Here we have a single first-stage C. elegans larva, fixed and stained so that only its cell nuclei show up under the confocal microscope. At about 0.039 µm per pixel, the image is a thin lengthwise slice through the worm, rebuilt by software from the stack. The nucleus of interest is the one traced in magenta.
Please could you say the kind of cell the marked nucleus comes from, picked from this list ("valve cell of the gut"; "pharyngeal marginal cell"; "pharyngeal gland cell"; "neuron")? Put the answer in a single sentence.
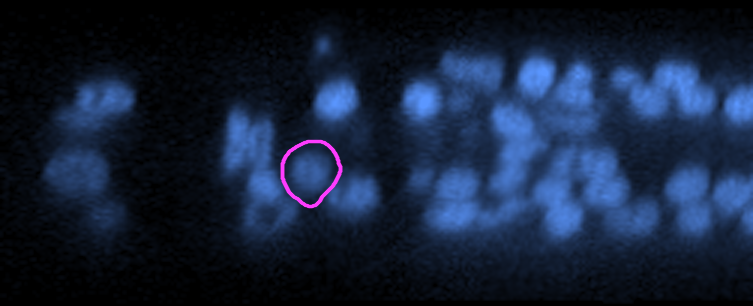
It is the nucleus of a pharyngeal gland cell.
